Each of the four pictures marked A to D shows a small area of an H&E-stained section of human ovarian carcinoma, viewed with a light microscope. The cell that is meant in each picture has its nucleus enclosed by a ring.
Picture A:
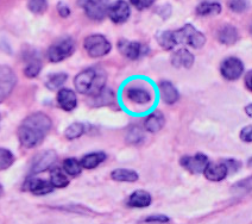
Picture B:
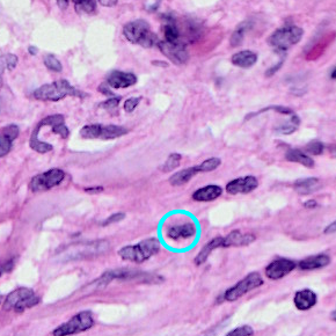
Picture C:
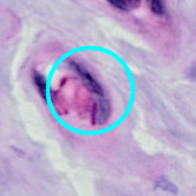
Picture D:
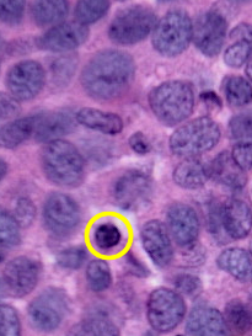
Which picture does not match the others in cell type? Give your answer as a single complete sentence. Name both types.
All pictures except C show lymphocytes; picture C shows an endothelial cell.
